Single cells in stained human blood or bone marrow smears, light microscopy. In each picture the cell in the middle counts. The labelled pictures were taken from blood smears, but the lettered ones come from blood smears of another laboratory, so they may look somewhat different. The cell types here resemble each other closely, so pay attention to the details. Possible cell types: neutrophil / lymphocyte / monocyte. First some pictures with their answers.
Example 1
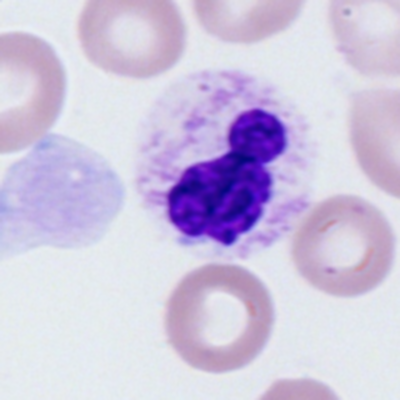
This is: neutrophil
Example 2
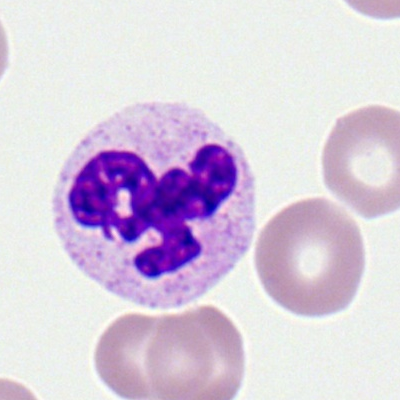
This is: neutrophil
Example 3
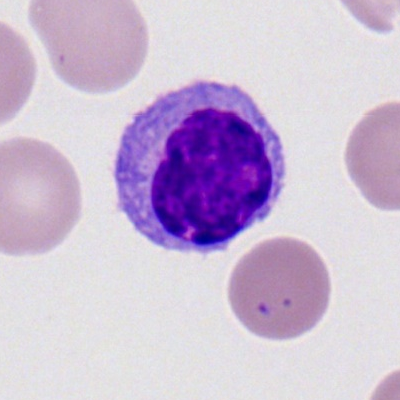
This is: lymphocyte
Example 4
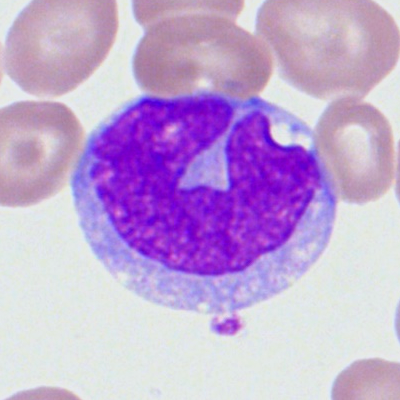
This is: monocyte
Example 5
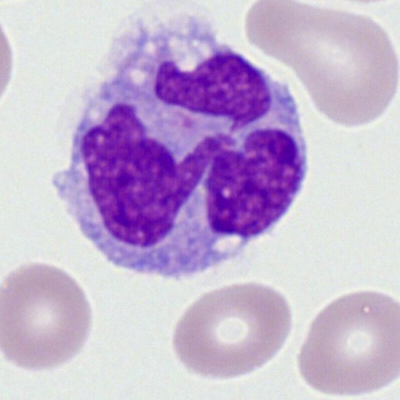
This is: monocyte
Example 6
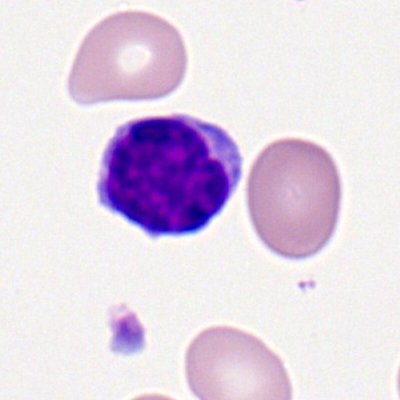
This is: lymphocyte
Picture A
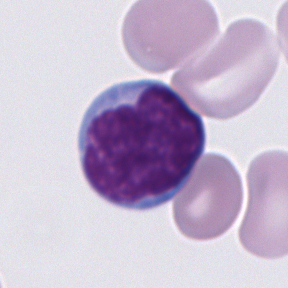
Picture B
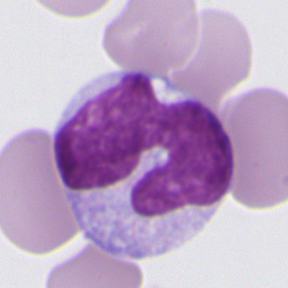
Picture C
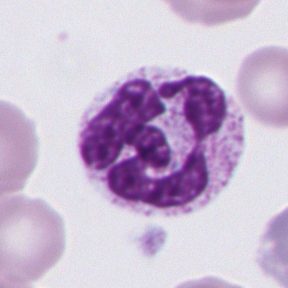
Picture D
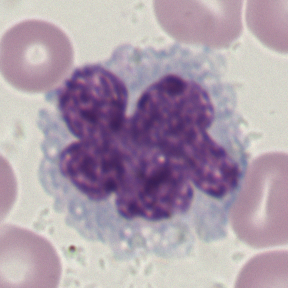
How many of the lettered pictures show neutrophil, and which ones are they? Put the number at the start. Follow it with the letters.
1: C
